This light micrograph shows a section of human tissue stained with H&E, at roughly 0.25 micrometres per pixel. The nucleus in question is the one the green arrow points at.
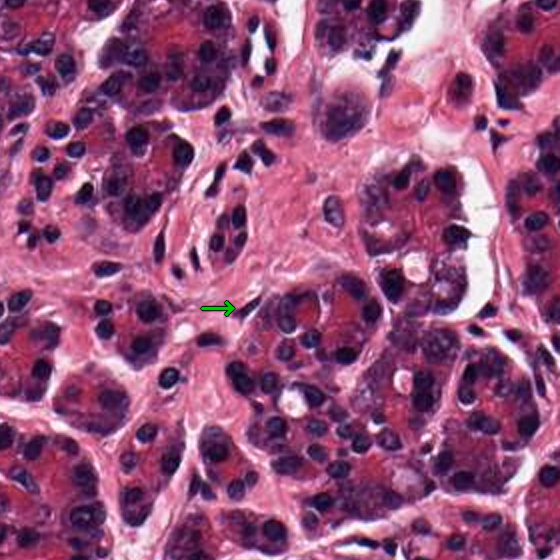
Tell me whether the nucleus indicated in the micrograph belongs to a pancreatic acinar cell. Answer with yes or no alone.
no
